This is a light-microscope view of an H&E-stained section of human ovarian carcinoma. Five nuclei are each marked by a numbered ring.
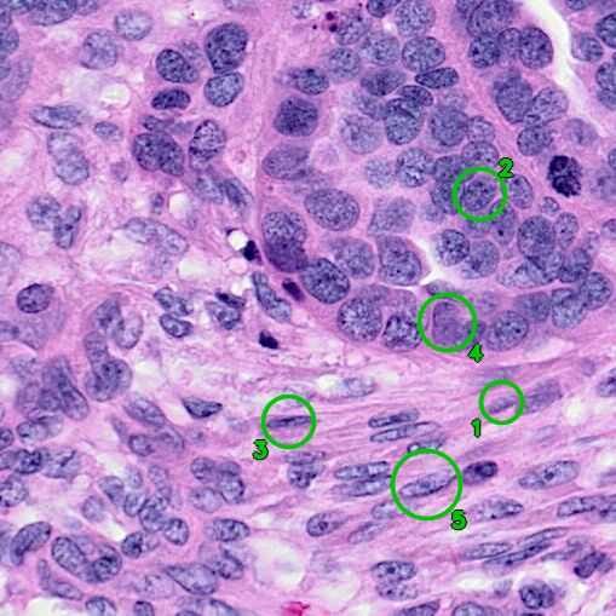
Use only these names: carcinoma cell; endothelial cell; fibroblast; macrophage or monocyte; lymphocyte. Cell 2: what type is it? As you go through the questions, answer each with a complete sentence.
The mark numbered 2 indicates the nucleus of a carcinoma cell.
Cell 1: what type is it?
Heads up, the cell numbered 1 is a fibroblast.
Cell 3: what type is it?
At number 3, the marked cell is a fibroblast.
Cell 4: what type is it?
Corresponding to a carcinoma cell is the cell labelled 4.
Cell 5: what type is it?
In this section, the cell numbered 5 is a fibroblast.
